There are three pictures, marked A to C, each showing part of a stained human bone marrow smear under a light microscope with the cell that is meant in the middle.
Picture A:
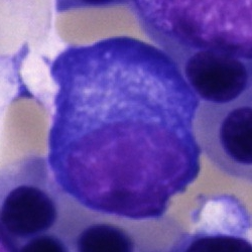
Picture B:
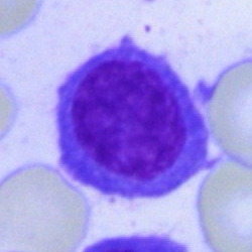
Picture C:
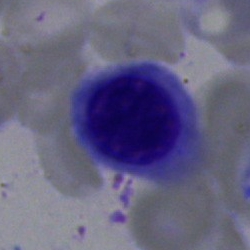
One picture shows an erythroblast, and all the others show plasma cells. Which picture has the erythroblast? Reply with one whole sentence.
The picture with the erythroblast is C.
